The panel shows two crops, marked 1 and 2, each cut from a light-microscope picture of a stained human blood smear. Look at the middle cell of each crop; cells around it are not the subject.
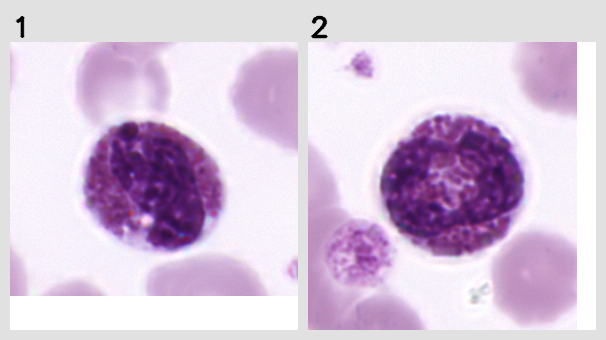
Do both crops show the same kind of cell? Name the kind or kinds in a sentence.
Yes, the centred cells are eosinophils in both crops.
